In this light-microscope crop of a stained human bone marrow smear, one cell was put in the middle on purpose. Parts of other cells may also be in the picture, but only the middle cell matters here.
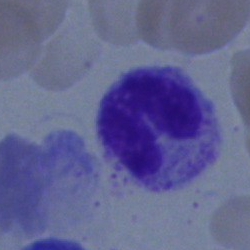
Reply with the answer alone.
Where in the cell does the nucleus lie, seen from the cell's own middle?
upper left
